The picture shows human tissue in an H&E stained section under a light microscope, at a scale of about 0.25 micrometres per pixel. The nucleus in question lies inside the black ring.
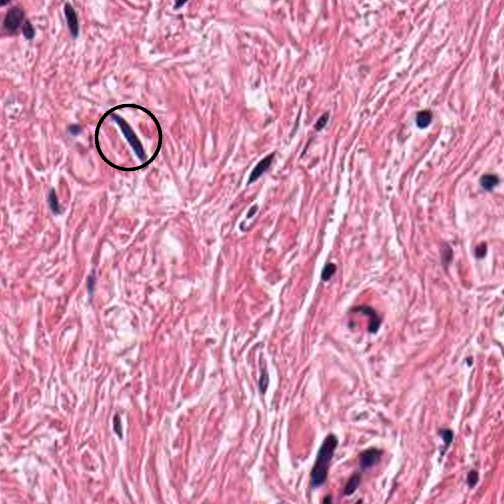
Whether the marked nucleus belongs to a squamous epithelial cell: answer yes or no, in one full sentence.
No, the marked nucleus is held by a supporting cell and not by a squamous epithelial cell.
